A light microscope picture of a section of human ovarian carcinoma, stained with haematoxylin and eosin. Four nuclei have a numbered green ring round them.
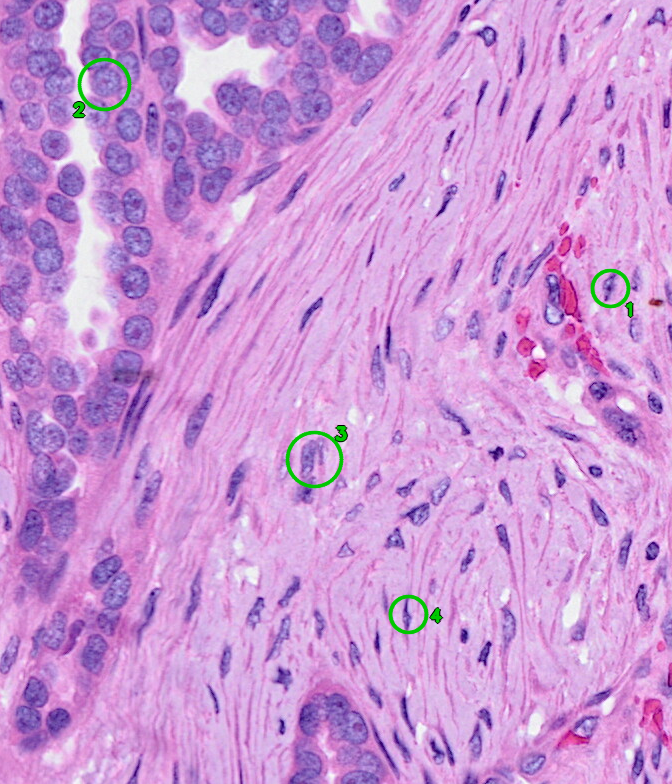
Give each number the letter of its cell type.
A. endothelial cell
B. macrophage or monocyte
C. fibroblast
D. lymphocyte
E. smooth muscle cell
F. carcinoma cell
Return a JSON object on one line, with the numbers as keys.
{"1": "C", "2": "F", "3": "C", "4": "C"}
